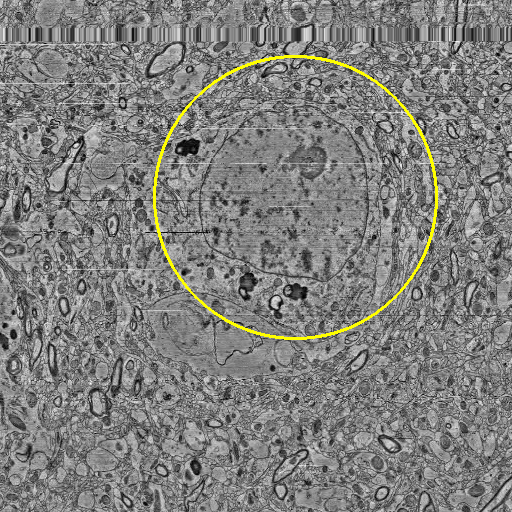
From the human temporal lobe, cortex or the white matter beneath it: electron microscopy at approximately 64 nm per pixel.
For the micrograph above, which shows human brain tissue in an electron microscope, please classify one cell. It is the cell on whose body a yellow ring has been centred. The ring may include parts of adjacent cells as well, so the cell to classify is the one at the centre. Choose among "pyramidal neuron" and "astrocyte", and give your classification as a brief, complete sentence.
I classify this cell as a pyramidal neuron.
